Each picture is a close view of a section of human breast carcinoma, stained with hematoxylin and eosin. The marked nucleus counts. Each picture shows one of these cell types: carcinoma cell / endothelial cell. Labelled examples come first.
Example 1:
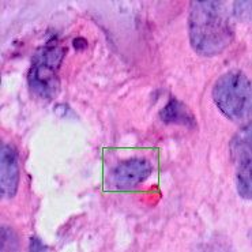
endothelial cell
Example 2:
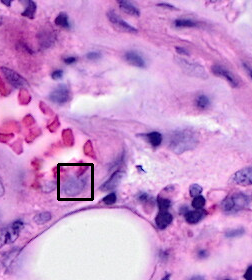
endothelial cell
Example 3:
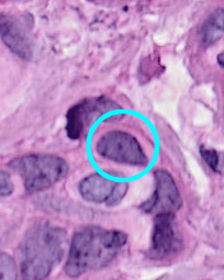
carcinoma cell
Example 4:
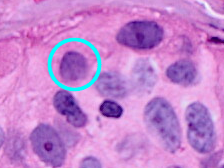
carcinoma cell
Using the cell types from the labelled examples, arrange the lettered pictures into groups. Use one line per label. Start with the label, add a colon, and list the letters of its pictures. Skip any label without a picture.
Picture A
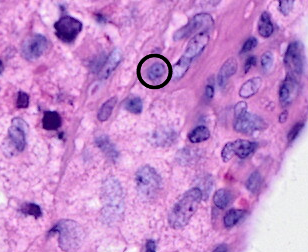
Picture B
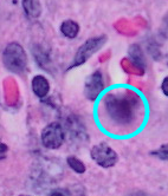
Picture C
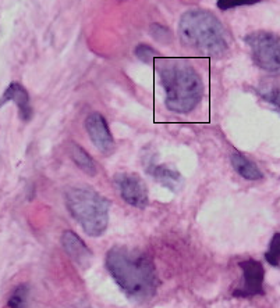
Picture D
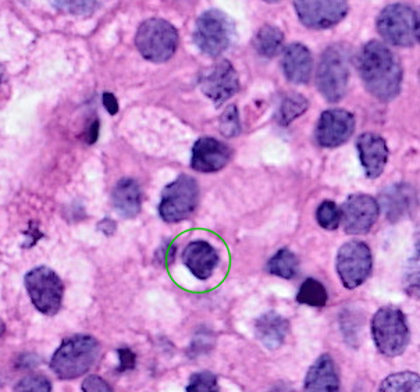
carcinoma cell: C, D
endothelial cell: A, B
